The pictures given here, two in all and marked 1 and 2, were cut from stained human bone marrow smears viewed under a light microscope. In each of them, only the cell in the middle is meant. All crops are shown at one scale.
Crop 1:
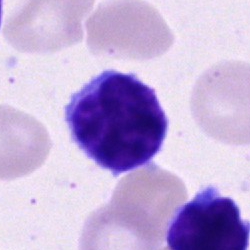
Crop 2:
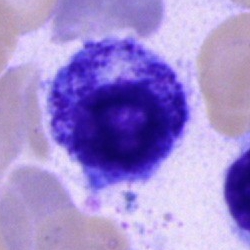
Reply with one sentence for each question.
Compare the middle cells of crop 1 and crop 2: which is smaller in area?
Crop 1 holds the smaller cell, since the cell in crop 2 covers about 2 times as much area.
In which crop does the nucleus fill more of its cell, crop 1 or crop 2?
In crop 1 the nucleus takes up the larger part of its cell.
